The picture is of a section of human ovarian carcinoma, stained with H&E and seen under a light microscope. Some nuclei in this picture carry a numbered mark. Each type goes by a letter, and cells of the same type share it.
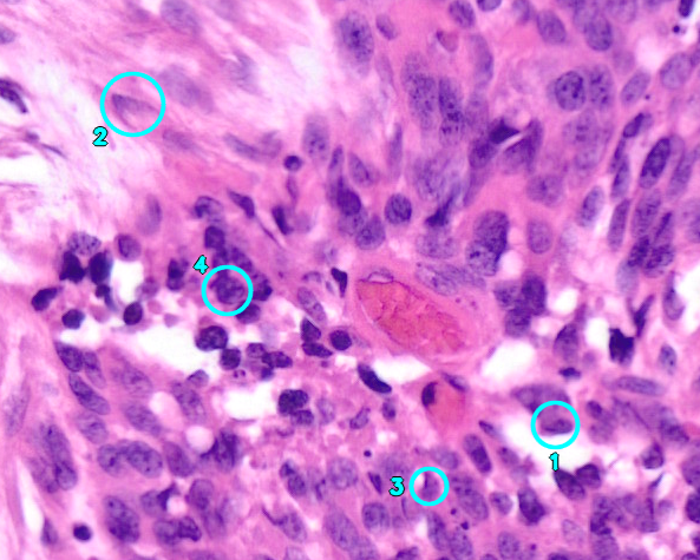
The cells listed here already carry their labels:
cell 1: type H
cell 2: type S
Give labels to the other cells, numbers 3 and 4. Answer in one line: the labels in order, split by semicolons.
type H; type H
